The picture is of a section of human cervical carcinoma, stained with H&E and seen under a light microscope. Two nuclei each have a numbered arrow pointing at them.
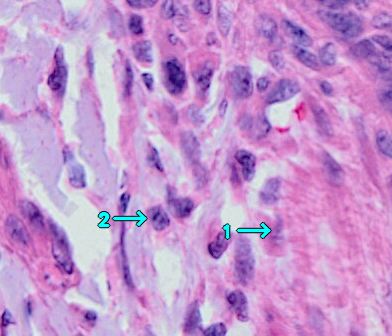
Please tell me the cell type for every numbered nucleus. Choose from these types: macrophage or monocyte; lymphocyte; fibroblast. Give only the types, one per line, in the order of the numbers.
fibroblast
macrophage or monocyte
